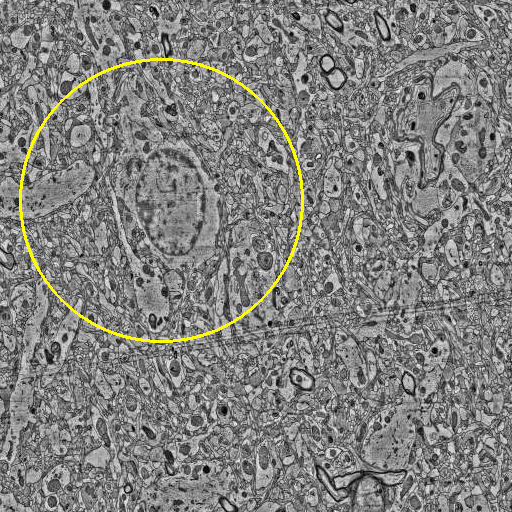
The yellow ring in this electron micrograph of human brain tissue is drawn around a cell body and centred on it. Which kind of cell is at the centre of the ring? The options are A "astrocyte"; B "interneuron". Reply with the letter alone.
A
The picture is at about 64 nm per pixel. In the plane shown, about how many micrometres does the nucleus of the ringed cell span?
About 7 micrometres by about 5 micrometres in this plane.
